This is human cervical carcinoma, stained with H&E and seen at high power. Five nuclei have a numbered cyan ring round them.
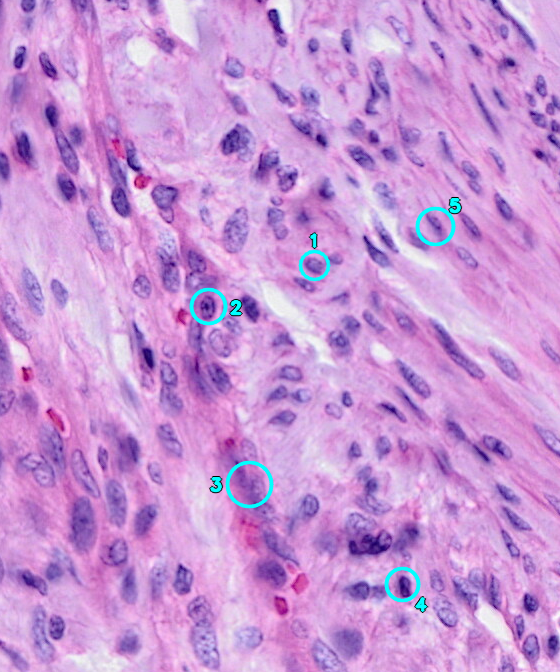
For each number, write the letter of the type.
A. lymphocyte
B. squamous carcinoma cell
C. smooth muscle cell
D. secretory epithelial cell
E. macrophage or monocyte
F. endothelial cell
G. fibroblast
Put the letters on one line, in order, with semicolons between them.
C; F; F; A; C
